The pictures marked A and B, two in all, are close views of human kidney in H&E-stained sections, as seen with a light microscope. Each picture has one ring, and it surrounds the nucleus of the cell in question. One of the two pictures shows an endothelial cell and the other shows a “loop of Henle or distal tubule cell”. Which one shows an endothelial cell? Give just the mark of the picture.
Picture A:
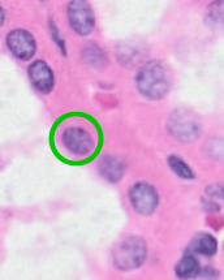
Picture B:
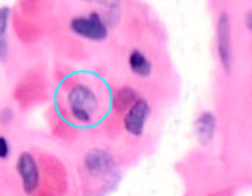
B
